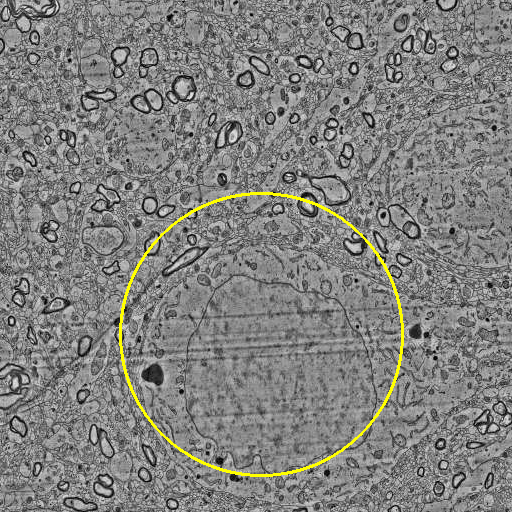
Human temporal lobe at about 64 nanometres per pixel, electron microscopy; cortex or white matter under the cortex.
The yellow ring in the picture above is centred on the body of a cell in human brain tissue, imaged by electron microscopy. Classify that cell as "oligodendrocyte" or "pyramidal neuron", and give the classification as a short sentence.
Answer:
The cell in the middle of the ring is a pyramidal neuron.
